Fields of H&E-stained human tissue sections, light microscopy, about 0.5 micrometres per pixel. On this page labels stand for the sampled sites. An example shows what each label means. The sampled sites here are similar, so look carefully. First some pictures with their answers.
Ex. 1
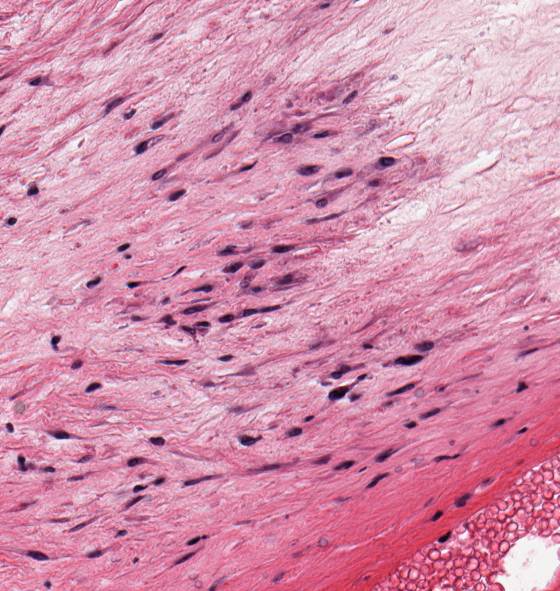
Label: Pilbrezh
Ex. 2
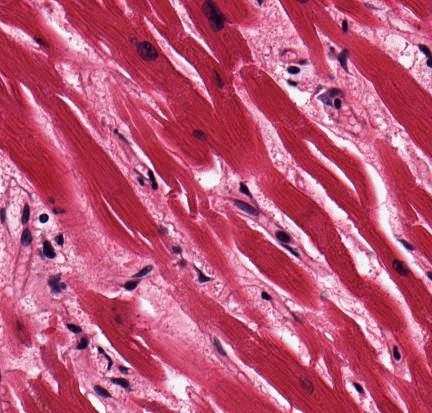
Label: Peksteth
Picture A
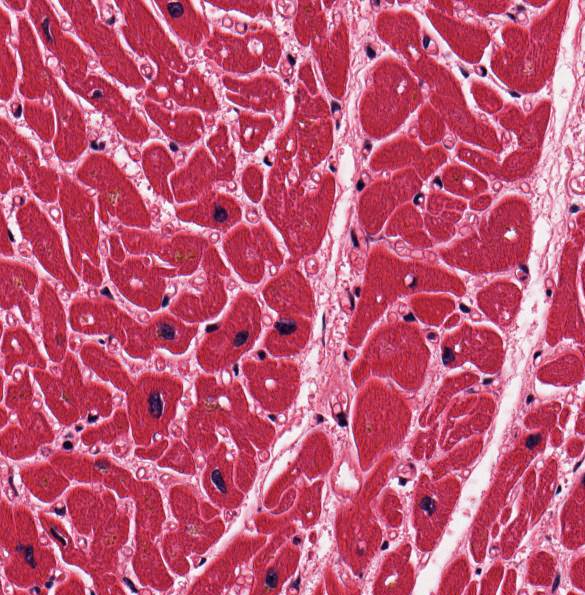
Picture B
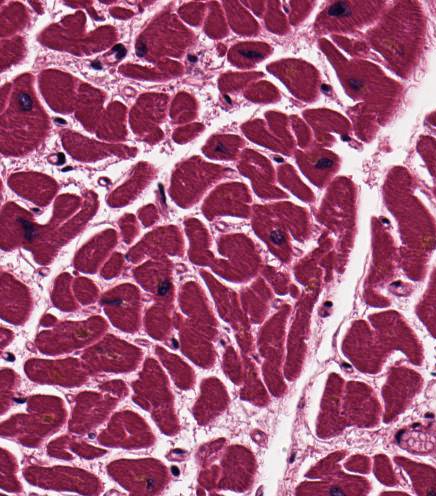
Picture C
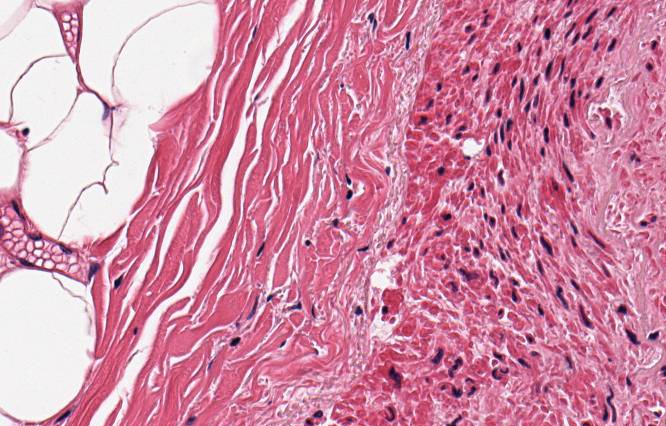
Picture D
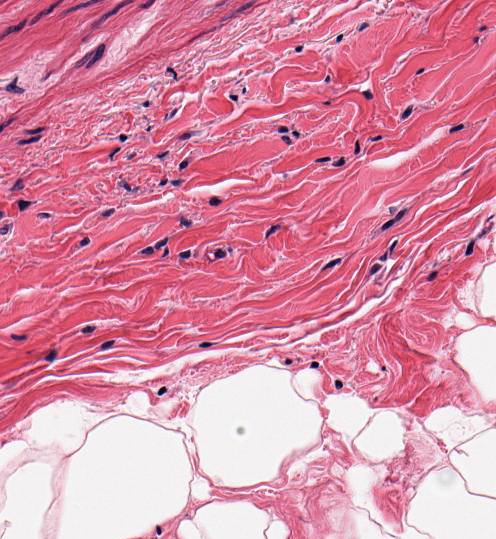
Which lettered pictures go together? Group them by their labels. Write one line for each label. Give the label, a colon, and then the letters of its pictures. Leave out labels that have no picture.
Pilbrezh: C, D
Peksteth: A, B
